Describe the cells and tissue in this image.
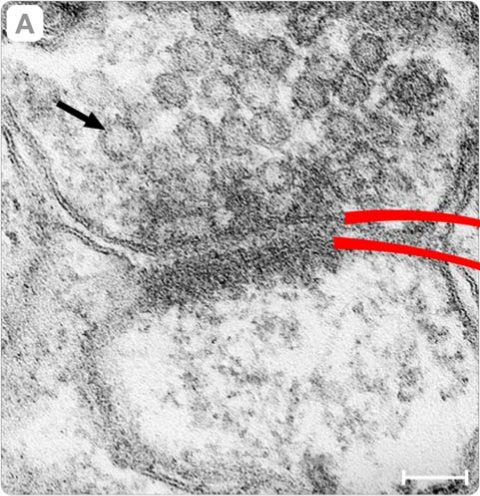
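Where the two plasma membranes meet there is a dense, thickened contact zone. The membranes show a layered, tri-laminar look, and the vesicles are outlined by similar thin membranes.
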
